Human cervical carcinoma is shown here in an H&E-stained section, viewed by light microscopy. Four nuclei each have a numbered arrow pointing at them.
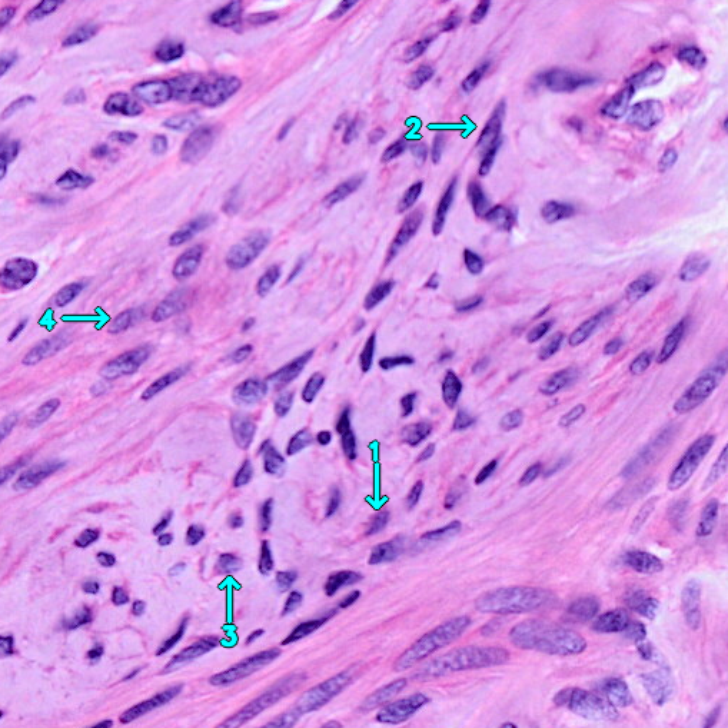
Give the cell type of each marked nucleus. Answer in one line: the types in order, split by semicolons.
smooth muscle cell; fibroblast; smooth muscle cell; smooth muscle cell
